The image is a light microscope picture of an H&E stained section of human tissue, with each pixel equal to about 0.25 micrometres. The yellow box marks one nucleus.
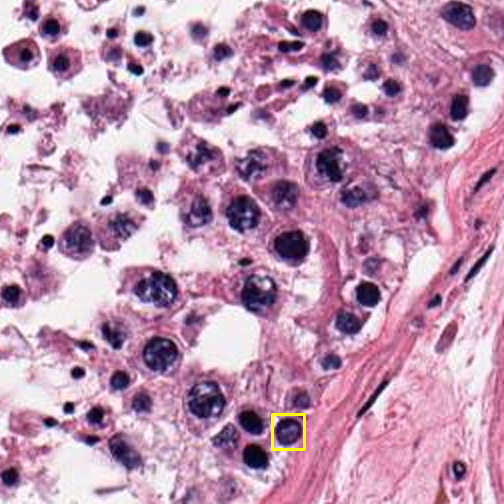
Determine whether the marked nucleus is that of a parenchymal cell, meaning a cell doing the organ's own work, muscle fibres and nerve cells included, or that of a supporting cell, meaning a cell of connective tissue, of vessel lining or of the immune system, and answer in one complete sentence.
The marked nucleus belongs to a cell of the parenchyma, namely a spermatogonium.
